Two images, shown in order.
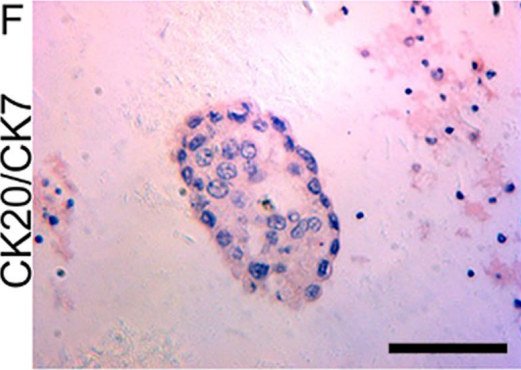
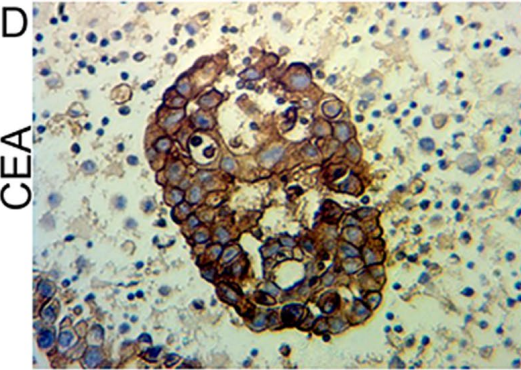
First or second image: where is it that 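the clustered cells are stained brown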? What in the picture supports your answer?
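First image: the cell cluster shows only blue nuclei with no brown stain. Second image: the cell cluster is strongly stained brown along its cells.
Answer: the second image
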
